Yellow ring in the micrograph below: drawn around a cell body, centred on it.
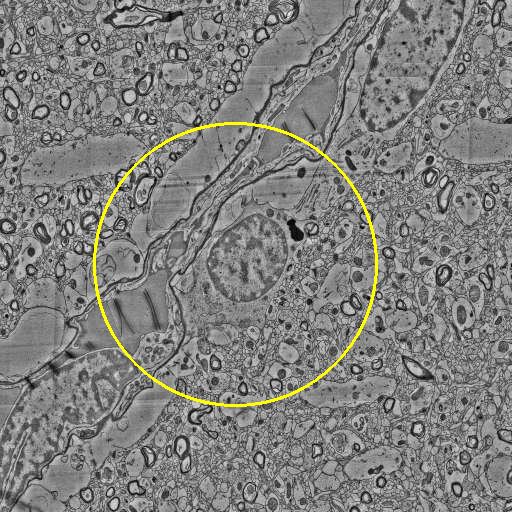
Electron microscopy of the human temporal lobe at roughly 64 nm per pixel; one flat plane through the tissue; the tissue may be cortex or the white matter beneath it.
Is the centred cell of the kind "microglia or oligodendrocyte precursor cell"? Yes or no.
no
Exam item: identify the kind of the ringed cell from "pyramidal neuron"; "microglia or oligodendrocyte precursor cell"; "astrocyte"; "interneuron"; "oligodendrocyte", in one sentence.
What the ring is centred on is an oligodendrocyte.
